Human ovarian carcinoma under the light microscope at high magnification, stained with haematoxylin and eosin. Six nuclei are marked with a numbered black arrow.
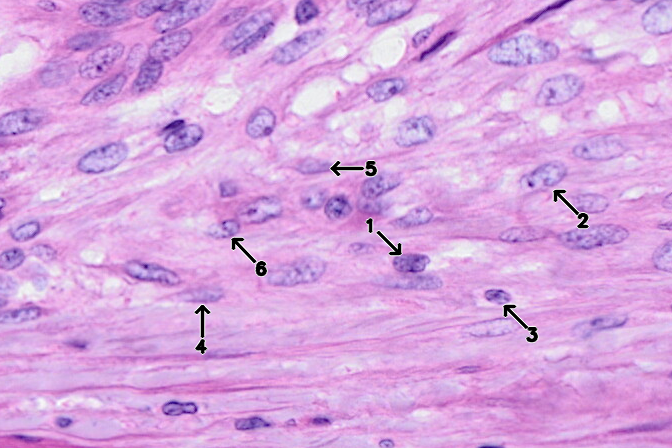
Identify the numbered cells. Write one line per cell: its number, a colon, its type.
1: macrophage or monocyte
2: fibroblast
3: lymphocyte
4: fibroblast
5: fibroblast
6: fibroblast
